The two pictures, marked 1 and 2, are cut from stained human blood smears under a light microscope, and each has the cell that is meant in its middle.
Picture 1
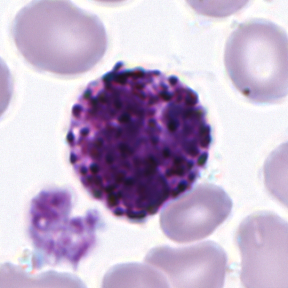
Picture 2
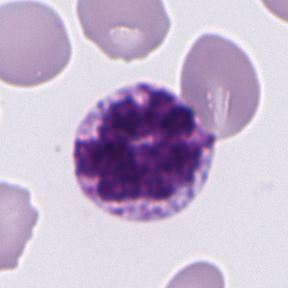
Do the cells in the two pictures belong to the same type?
yes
